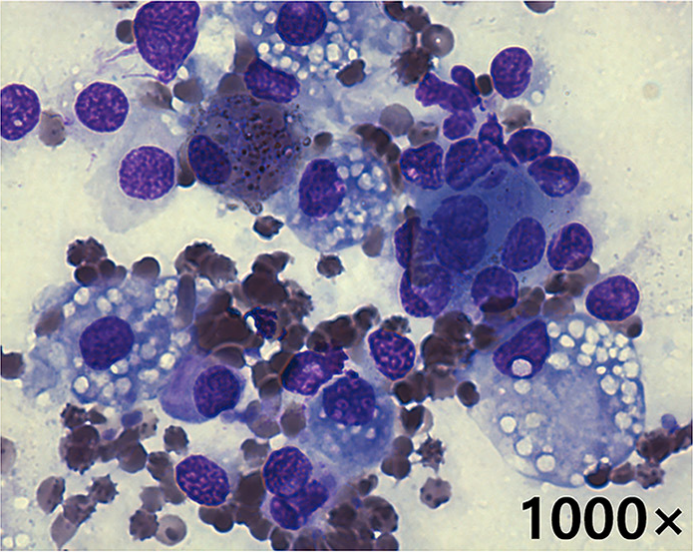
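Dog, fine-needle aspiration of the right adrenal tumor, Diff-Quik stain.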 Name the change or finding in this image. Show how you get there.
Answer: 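Cytoplasmic vacuolization. Several large cells have cytoplasm filled with many clear round vacuoles. The vacuoles vary in size within a single cell.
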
